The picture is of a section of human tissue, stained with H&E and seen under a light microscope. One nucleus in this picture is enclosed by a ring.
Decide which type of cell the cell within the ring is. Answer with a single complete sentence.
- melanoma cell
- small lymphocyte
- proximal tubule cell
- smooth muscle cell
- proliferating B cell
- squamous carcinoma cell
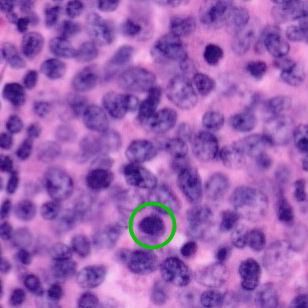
The cell type of the cell within the ring is that of a proliferating B cell.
